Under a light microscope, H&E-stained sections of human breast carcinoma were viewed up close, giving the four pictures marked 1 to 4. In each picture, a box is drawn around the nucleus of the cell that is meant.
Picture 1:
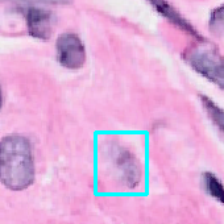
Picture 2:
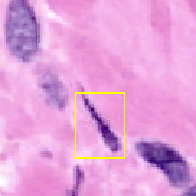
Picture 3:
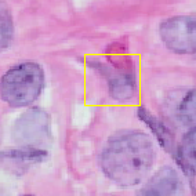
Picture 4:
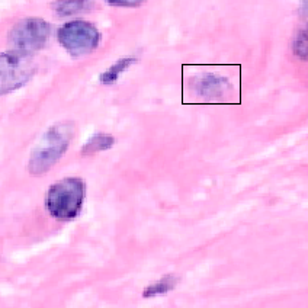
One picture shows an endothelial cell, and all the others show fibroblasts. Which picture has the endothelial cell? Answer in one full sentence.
The endothelial cell is the one in picture 3.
